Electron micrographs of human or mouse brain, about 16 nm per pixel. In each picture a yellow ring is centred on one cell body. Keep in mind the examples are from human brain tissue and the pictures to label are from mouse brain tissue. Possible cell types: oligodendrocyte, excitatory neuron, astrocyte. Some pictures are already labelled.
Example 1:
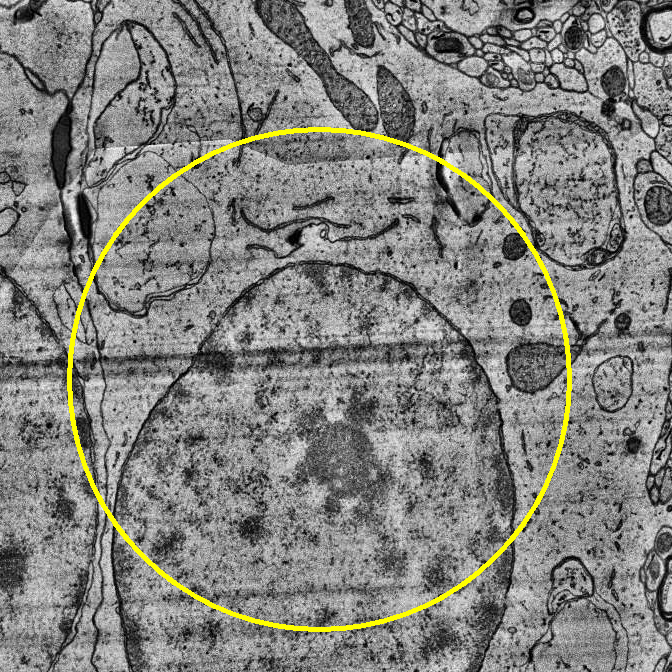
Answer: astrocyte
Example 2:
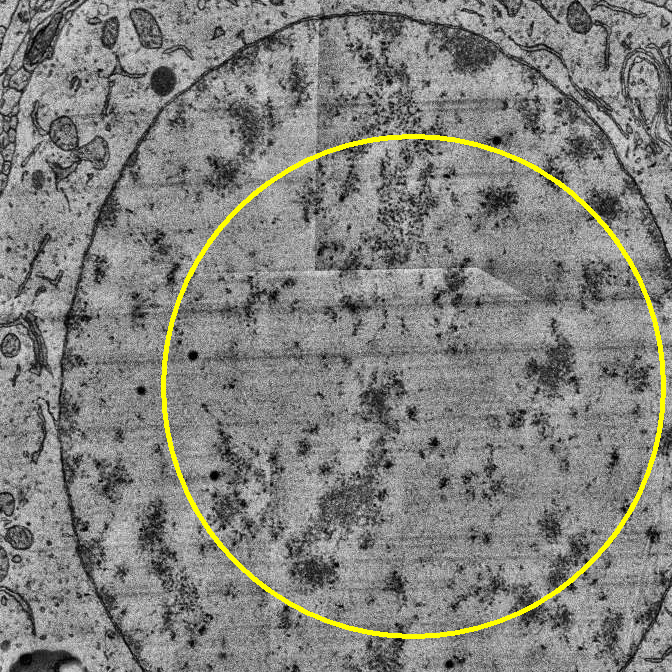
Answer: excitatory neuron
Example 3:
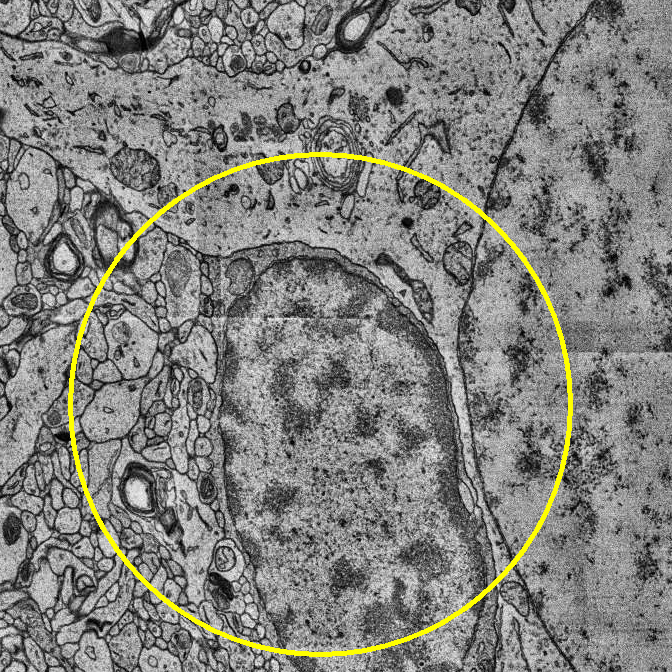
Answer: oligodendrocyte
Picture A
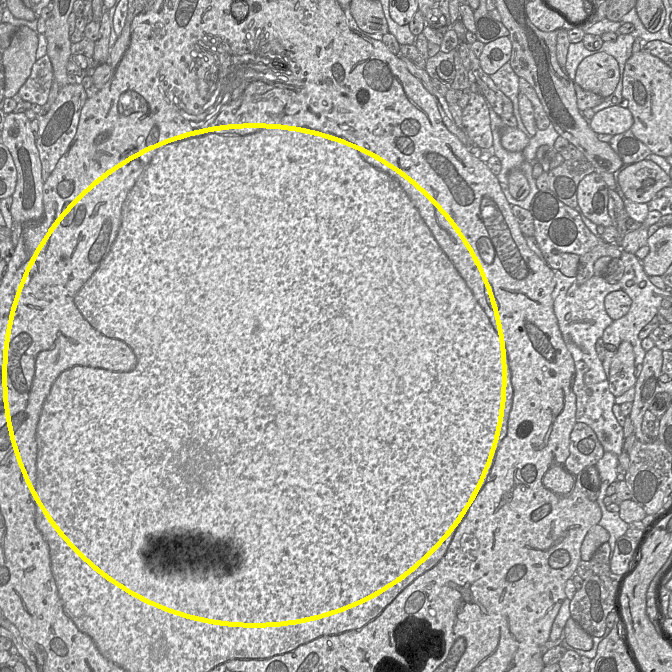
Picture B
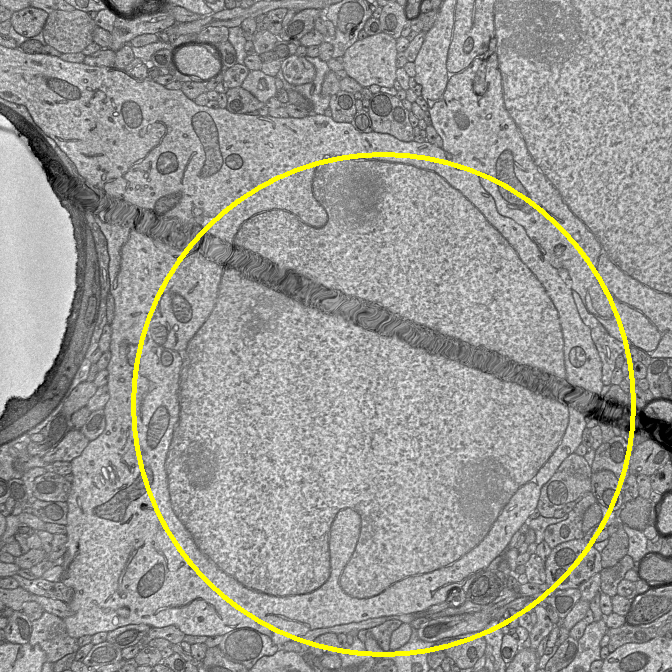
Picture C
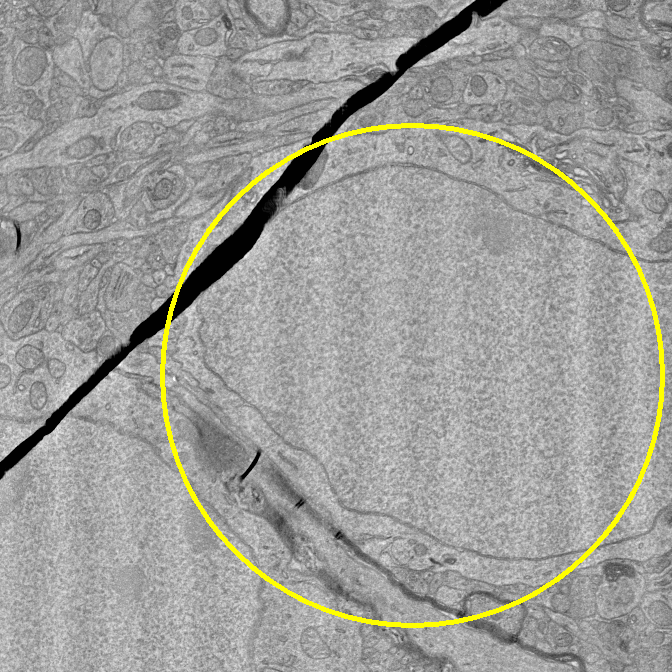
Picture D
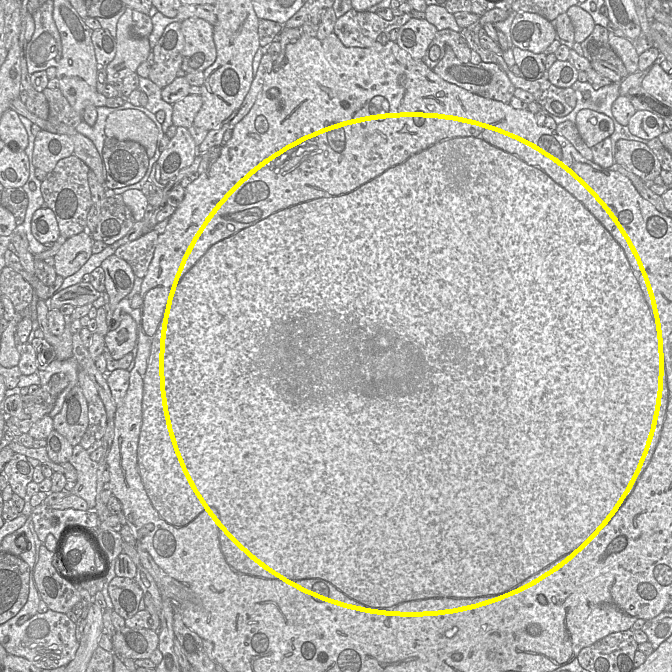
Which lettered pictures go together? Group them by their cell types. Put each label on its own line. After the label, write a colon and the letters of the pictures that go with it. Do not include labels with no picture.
excitatory neuron: A, B, C, D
